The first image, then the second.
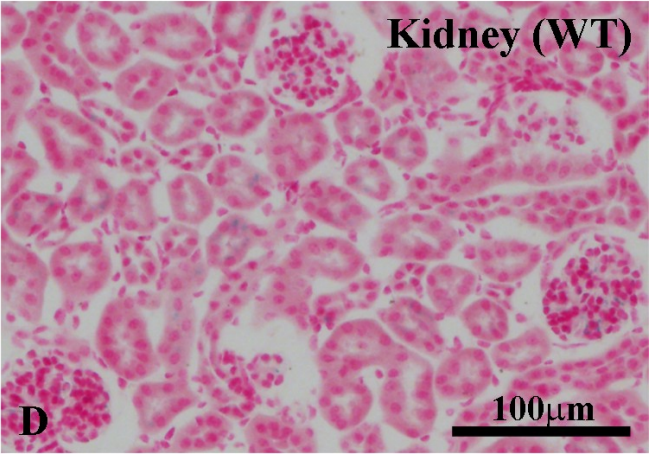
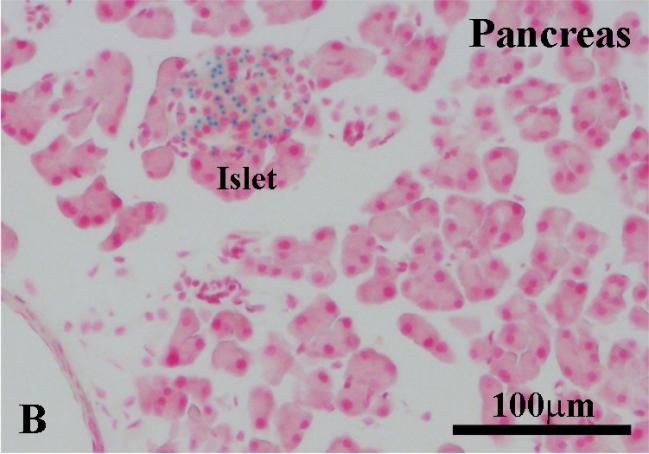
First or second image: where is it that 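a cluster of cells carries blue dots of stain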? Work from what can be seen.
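Second image: a rounded cluster of pale cells is studded with many small blue dots.
Conclusion: the second image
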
